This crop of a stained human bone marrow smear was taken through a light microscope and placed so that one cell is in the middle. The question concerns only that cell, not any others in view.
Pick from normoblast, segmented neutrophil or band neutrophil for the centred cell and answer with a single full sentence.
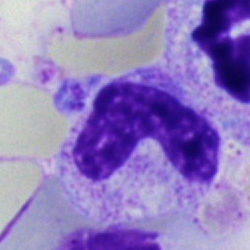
The centrally located cell in the crop is a band neutrophil.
